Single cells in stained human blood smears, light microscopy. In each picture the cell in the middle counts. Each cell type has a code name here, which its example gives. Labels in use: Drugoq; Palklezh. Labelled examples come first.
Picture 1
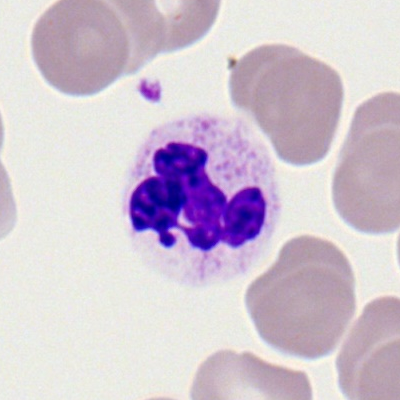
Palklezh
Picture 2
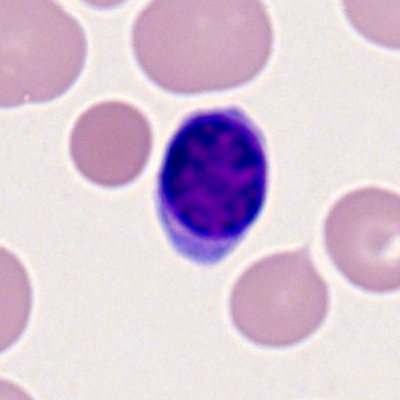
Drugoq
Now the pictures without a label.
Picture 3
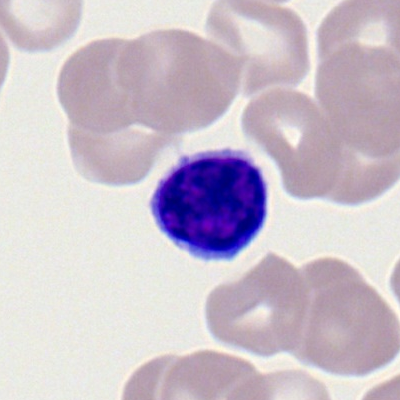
Drugoq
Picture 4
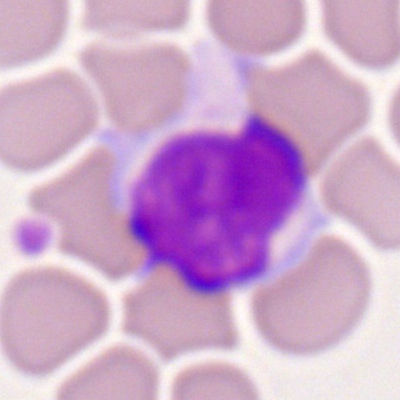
Drugoq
